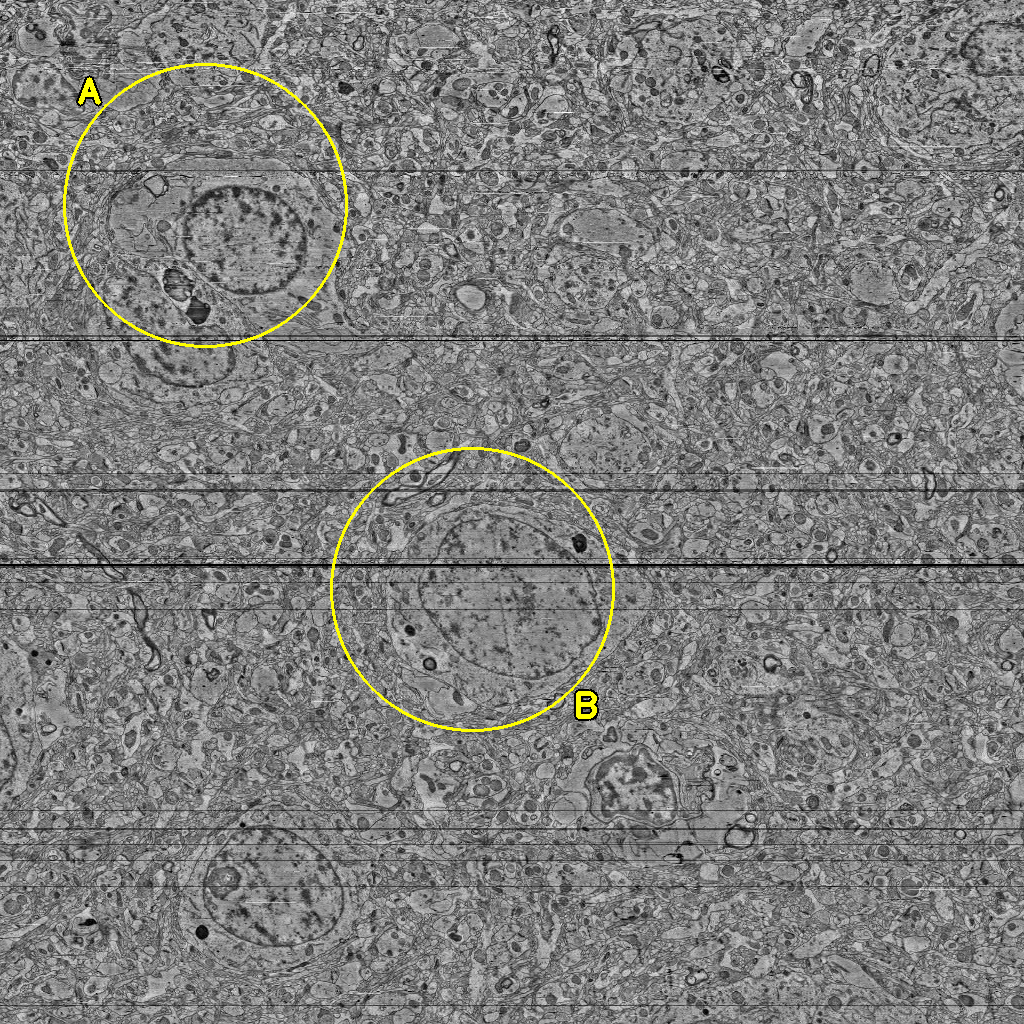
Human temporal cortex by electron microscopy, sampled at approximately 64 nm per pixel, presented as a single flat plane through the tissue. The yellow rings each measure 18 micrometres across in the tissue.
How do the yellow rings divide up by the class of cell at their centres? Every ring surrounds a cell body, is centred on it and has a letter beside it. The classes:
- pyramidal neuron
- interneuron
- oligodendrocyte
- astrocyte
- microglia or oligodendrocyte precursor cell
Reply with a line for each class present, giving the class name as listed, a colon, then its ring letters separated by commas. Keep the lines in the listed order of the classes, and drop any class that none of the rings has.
pyramidal neuron: B
astrocyte: A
